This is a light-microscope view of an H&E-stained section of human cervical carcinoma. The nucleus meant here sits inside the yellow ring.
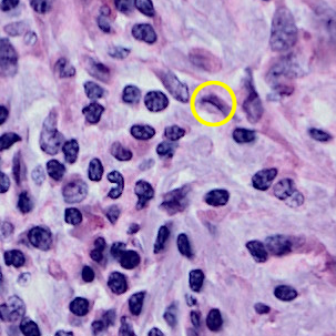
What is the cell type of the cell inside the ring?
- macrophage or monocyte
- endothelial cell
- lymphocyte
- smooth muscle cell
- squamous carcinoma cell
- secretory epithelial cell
macrophage or monocyte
